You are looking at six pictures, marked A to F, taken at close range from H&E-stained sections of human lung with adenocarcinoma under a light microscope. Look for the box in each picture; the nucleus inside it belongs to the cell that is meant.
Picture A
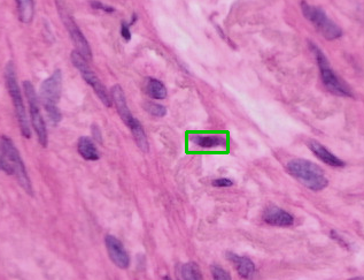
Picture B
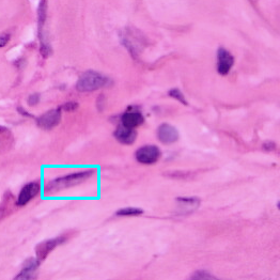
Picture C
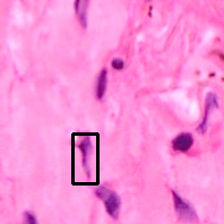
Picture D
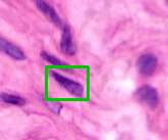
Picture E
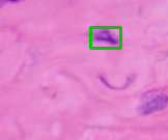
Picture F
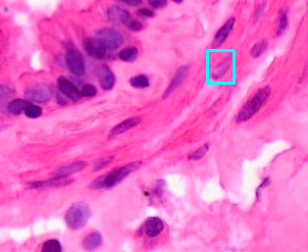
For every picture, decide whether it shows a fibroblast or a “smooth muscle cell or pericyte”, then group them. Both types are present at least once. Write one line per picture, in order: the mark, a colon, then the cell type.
A: smooth muscle cell or pericyte
B: fibroblast
C: fibroblast
D: smooth muscle cell or pericyte
E: fibroblast
F: smooth muscle cell or pericyte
